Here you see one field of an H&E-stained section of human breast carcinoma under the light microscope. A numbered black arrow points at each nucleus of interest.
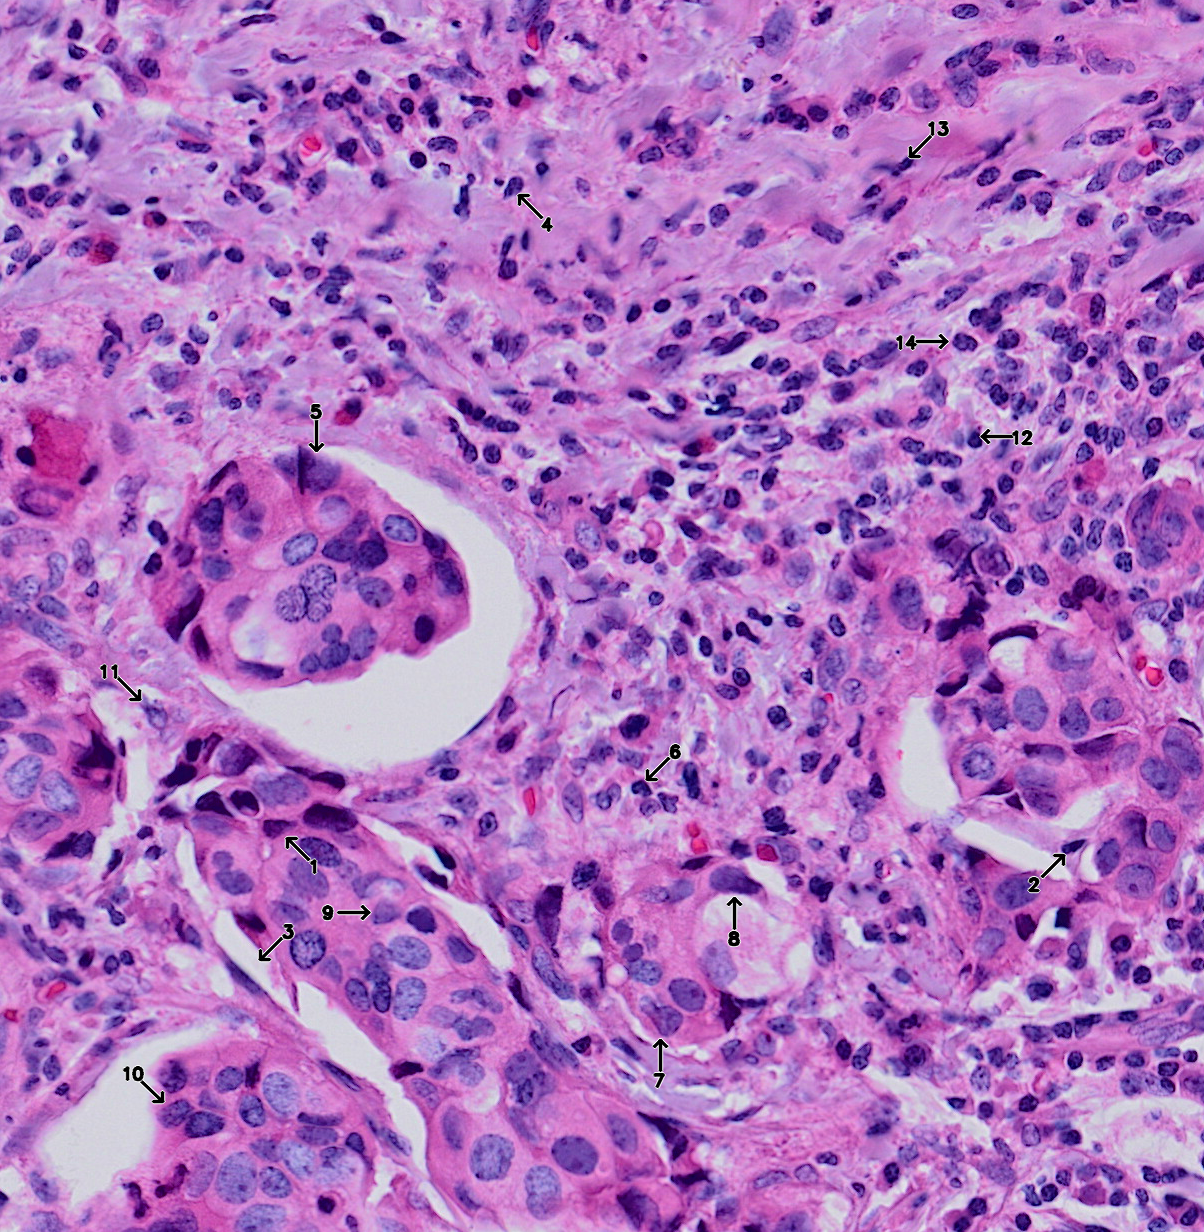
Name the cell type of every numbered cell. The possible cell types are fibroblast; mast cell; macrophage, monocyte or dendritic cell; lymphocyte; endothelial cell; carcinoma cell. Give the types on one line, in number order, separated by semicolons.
carcinoma cell; lymphocyte; fibroblast; lymphocyte; carcinoma cell; lymphocyte; carcinoma cell; carcinoma cell; carcinoma cell; carcinoma cell; fibroblast; lymphocyte; lymphocyte; lymphocyte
